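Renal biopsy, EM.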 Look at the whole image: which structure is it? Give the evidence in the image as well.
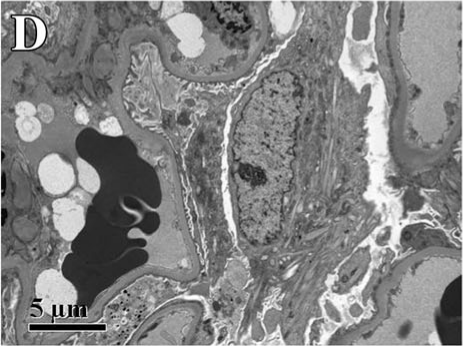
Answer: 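Elongated, straight, needle-shaped profiles lie in bundles in a cell's cytoplasm. The cell sits next to a capillary lumen holding a dark red blood cell. So: rod-like crystals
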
